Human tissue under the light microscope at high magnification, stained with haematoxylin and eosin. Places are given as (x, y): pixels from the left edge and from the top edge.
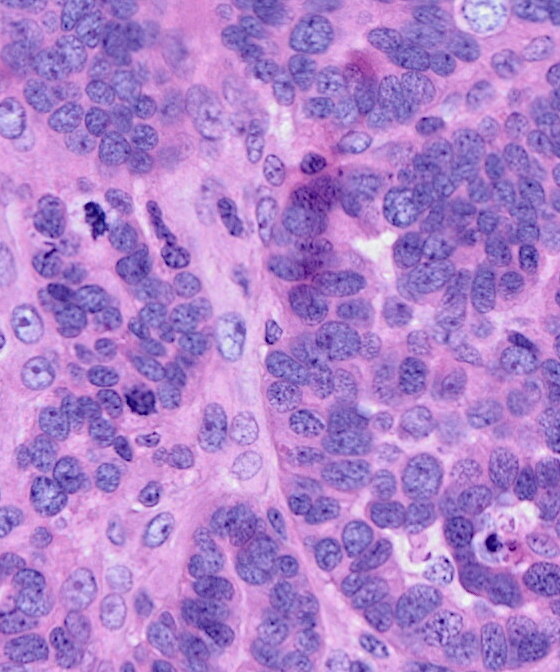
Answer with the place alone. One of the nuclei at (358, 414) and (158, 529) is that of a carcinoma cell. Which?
(358, 414)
